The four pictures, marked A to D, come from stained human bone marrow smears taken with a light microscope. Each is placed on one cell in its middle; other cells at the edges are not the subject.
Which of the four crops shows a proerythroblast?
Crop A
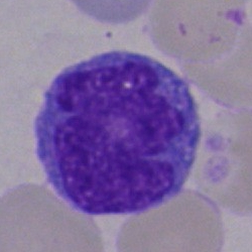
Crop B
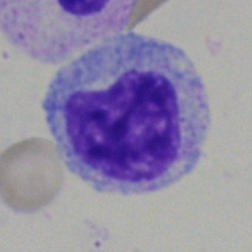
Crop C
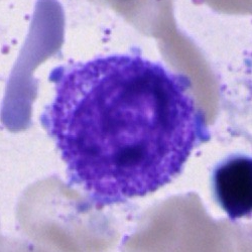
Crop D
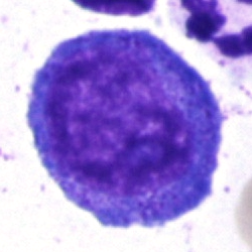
D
